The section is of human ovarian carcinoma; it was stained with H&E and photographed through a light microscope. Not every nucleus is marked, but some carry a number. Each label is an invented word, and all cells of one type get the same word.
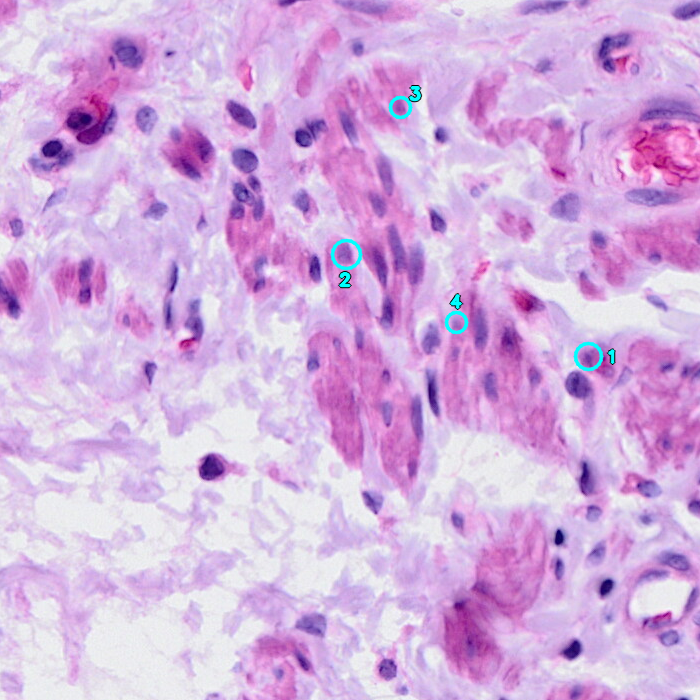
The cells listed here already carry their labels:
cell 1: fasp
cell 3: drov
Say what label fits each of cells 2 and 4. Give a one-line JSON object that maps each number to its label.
{"2": "drov", "4": "drov"}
